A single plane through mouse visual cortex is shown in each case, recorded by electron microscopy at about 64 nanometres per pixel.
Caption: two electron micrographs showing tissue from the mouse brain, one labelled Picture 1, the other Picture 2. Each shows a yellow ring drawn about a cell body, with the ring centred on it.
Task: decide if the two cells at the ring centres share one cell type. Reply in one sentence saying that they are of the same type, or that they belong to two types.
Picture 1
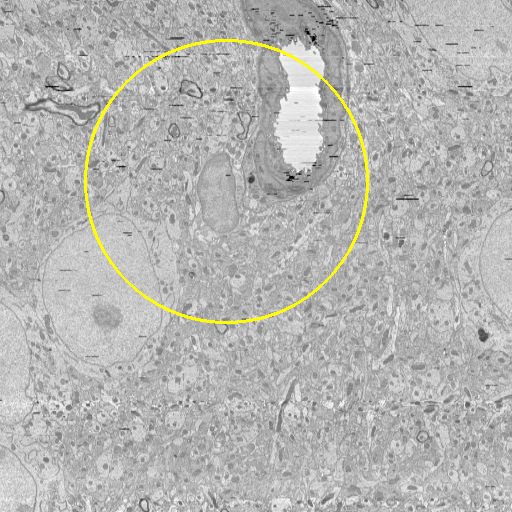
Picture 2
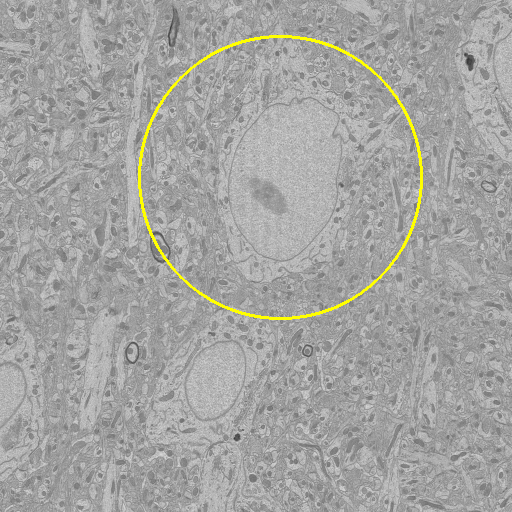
The cells at the ring centres in Picture 1 and Picture 2 belong to two types.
